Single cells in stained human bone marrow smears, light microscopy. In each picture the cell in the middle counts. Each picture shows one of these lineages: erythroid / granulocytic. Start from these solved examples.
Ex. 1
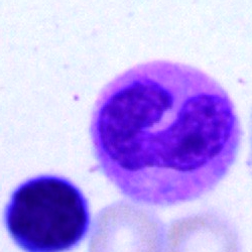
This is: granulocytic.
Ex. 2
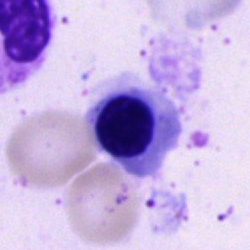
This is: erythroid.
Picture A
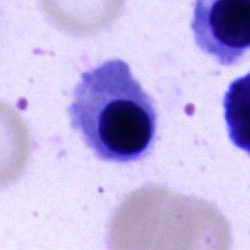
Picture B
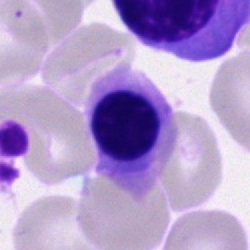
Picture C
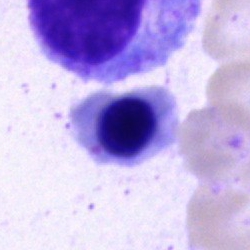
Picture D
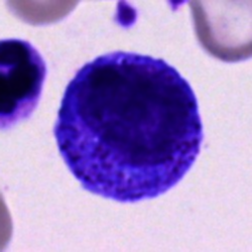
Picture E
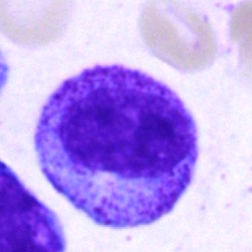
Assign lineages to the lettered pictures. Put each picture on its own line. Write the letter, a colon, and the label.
A: erythroid.
B: erythroid.
C: erythroid.
D: granulocytic.
E: granulocytic.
